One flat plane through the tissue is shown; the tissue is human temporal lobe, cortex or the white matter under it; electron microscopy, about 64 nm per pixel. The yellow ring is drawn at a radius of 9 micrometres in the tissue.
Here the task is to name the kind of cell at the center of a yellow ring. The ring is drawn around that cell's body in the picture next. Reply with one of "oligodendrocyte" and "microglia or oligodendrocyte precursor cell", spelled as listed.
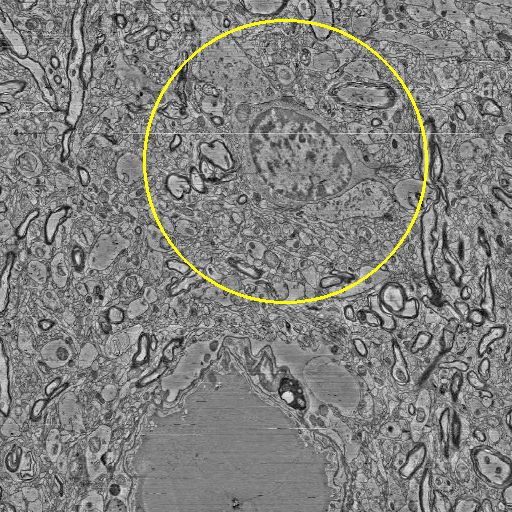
oligodendrocyte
